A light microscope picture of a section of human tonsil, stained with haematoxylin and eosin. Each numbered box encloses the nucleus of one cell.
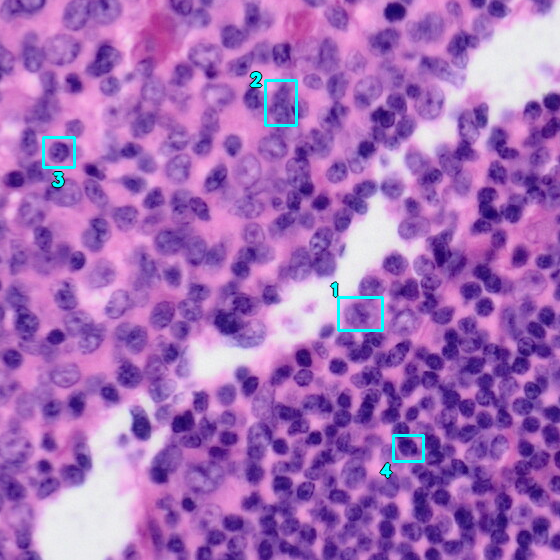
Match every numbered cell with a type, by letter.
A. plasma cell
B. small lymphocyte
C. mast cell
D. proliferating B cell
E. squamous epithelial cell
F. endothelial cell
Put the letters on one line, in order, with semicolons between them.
D; D; D; B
